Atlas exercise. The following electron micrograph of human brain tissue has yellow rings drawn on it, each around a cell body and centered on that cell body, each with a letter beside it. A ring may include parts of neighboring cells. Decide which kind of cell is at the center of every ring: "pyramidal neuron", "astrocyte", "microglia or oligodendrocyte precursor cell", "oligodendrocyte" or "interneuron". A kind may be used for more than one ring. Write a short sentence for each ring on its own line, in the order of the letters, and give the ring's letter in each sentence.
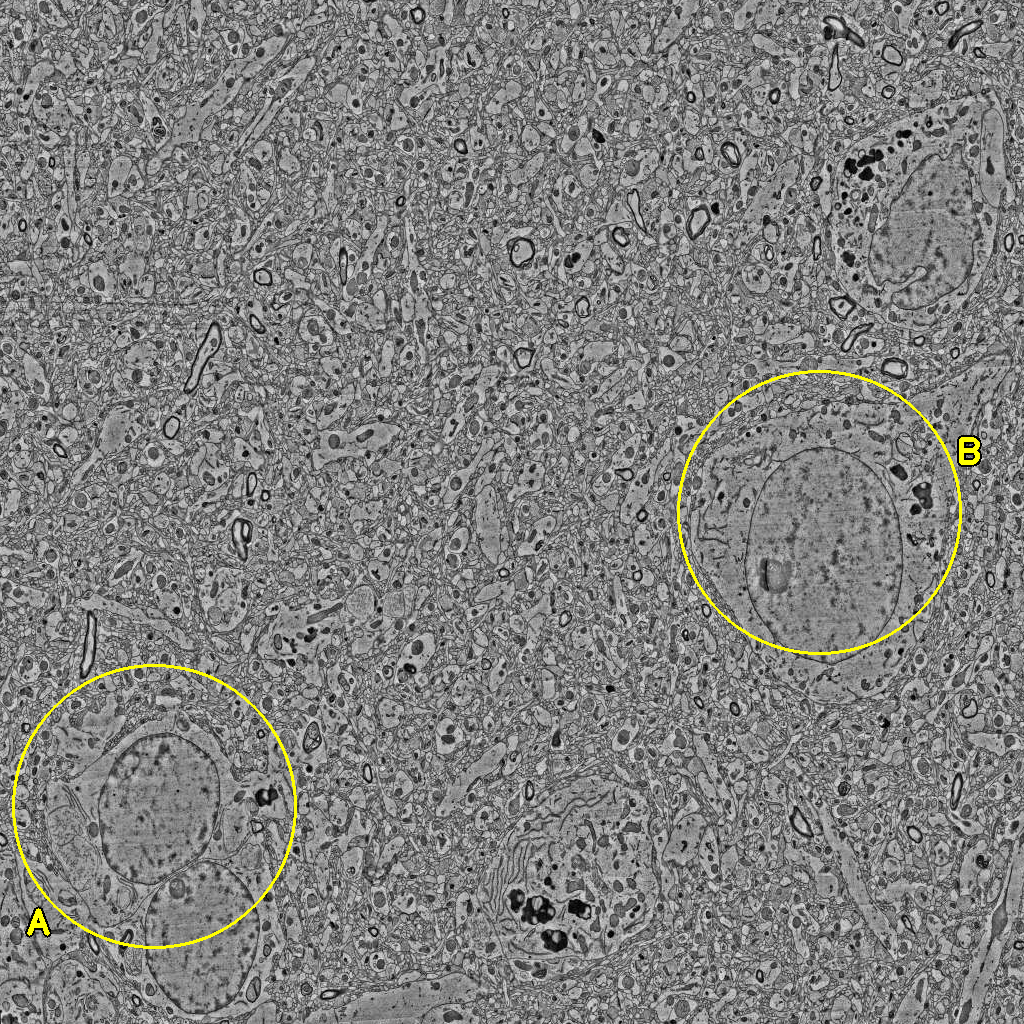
Ring A frames an astrocyte at its center.
Ring B frames a pyramidal neuron at its center.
